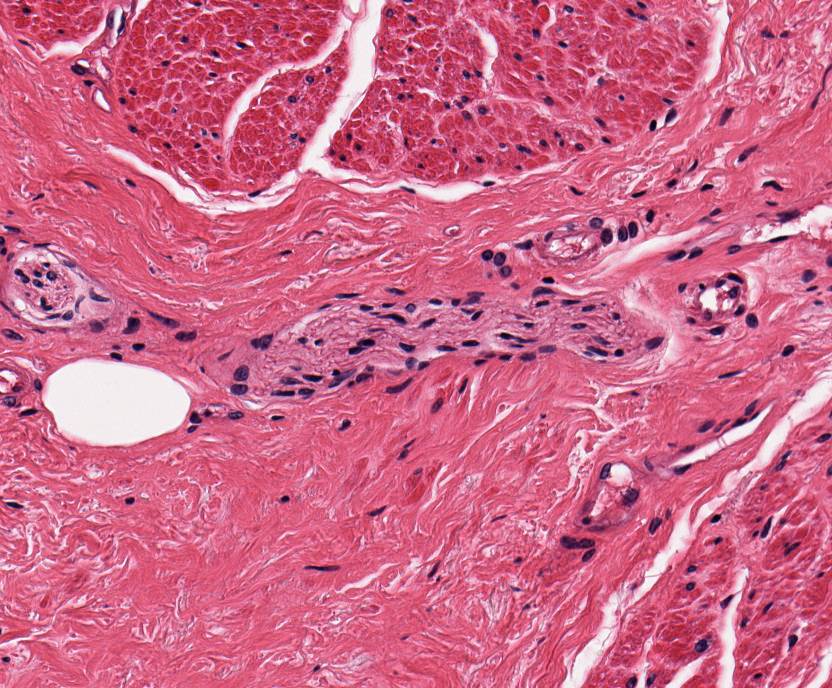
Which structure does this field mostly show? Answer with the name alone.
fibromuscular stroma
